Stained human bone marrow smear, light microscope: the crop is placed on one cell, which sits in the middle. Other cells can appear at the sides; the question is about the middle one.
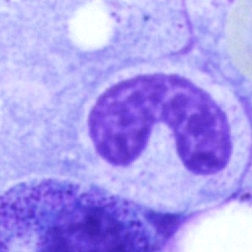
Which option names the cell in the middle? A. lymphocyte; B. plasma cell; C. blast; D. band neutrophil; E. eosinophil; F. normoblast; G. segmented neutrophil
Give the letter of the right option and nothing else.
D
